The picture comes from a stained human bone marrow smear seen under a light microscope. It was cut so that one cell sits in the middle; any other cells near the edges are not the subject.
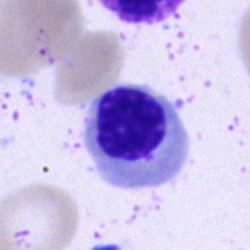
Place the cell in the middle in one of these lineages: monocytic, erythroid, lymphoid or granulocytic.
erythroid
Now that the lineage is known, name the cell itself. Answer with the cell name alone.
erythroblast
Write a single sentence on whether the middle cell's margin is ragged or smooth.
If you check the edge, you will find it smooth without projections.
